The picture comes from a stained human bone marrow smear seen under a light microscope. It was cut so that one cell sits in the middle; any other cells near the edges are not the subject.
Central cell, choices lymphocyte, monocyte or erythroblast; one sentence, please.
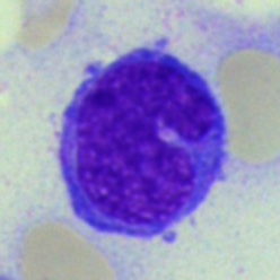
Among the cells in view, the one in the middle is a monocyte.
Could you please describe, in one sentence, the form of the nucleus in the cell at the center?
The cell carries one compact nucleus shaped round, oval or like a kidney.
